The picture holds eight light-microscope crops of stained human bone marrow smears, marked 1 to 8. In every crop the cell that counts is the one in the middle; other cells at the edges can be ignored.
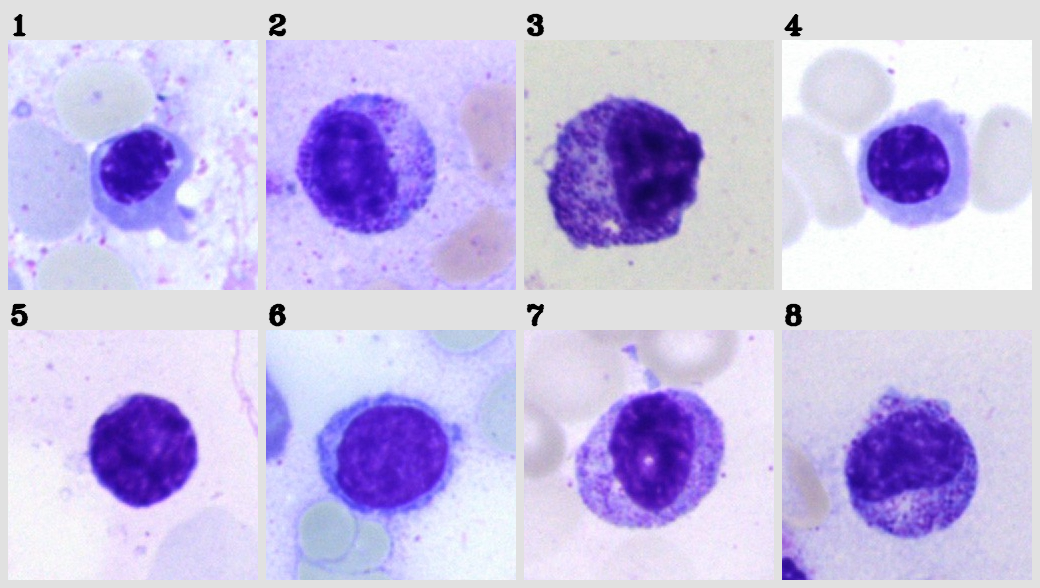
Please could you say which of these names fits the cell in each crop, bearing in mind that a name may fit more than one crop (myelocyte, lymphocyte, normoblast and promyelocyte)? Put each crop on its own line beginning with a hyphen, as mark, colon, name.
- 1: normoblast
- 2: myelocyte
- 3: myelocyte
- 4: normoblast
- 5: lymphocyte
- 6: lymphocyte
- 7: myelocyte
- 8: myelocyte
